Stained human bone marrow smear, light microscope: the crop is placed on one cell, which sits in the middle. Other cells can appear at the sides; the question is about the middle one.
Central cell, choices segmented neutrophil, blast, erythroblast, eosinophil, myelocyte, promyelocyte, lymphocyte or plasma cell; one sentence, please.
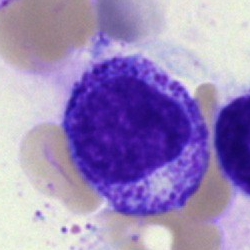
The crop centres on a single cell, and that cell is a myelocyte.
